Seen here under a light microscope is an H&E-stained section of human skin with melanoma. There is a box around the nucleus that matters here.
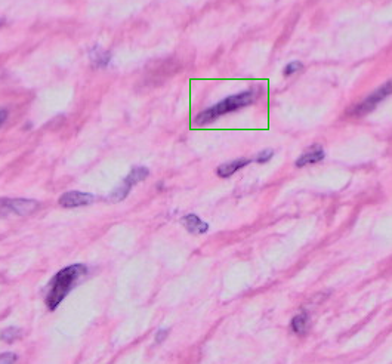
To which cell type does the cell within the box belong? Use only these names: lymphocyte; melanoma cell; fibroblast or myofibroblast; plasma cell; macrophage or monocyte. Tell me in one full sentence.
The identity of the cell within the box is that of a fibroblast or myofibroblast.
